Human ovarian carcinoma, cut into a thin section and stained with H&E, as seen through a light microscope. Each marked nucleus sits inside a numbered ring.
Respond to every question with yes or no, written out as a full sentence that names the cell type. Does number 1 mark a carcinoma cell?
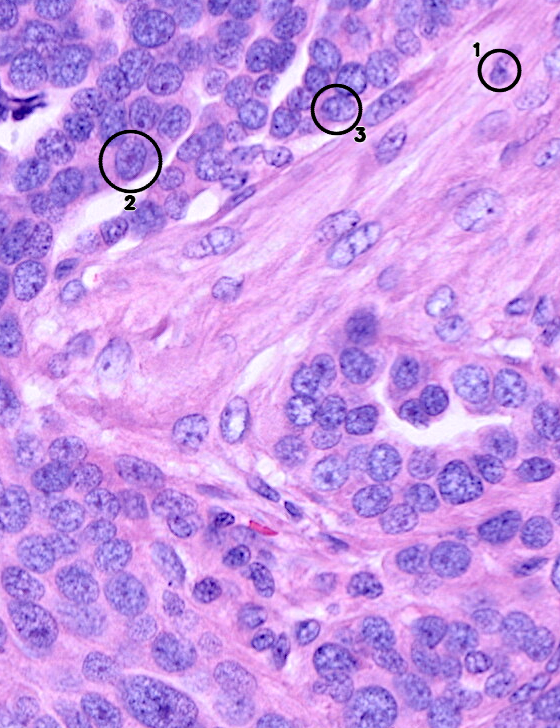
No, cell 1 is a macrophage or monocyte and should not be called a carcinoma cell.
